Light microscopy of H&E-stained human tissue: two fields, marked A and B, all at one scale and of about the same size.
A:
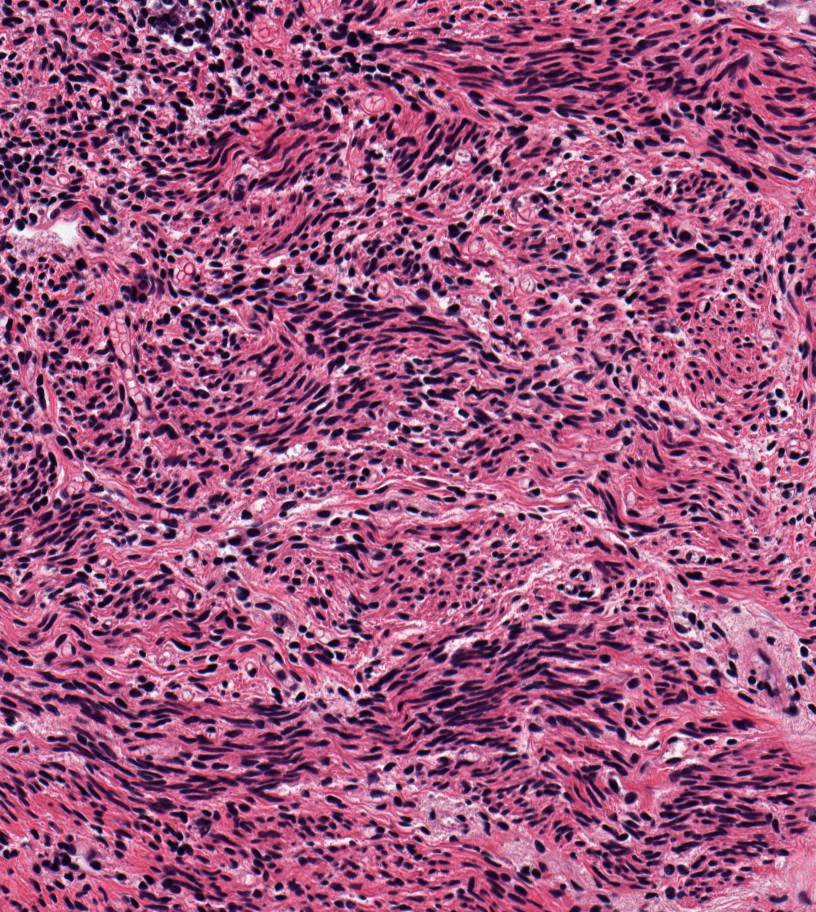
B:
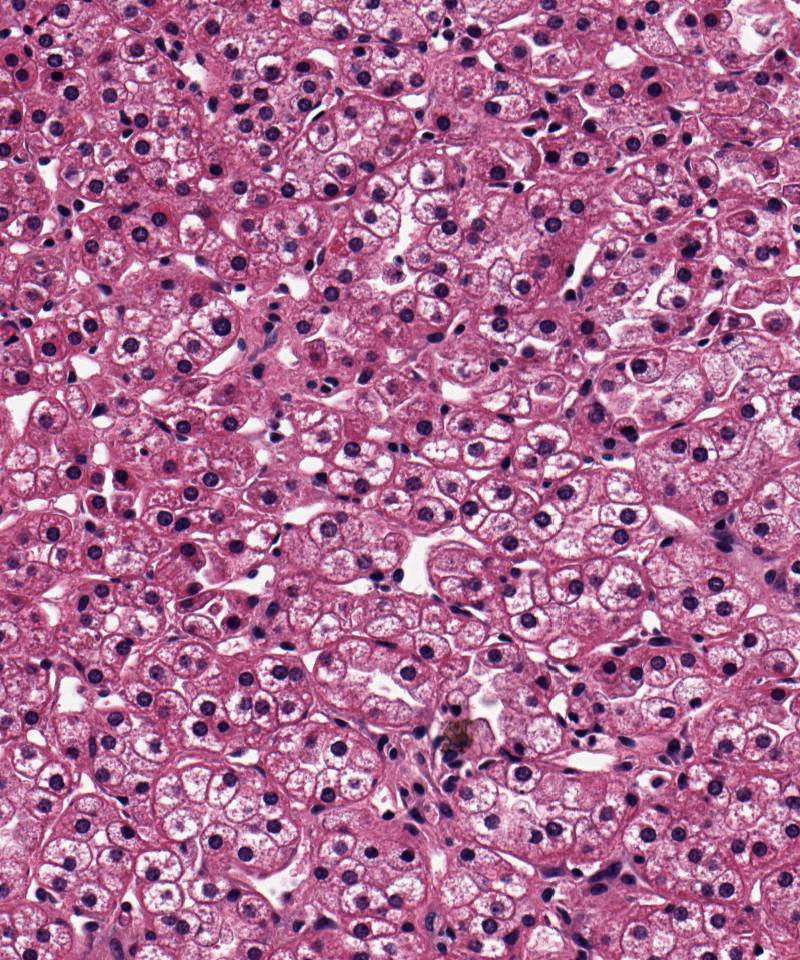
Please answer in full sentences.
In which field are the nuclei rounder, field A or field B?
On the whole the nuclei of field B are rounder than those of field A.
